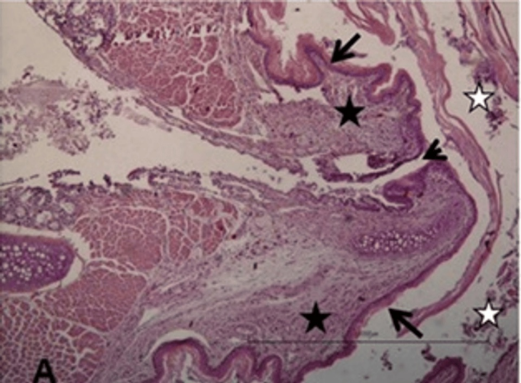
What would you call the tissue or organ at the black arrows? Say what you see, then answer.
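Stratified squamous epithelium. A multilayered epithelium lines the folded luminal surface. The epithelial layer stains darker purple than the underlying connective tissue.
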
